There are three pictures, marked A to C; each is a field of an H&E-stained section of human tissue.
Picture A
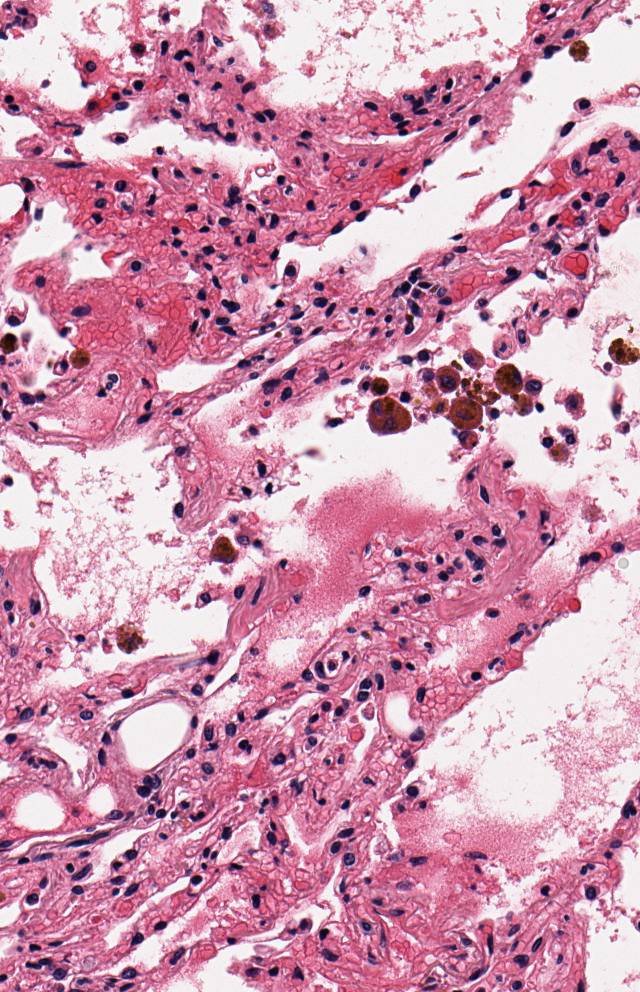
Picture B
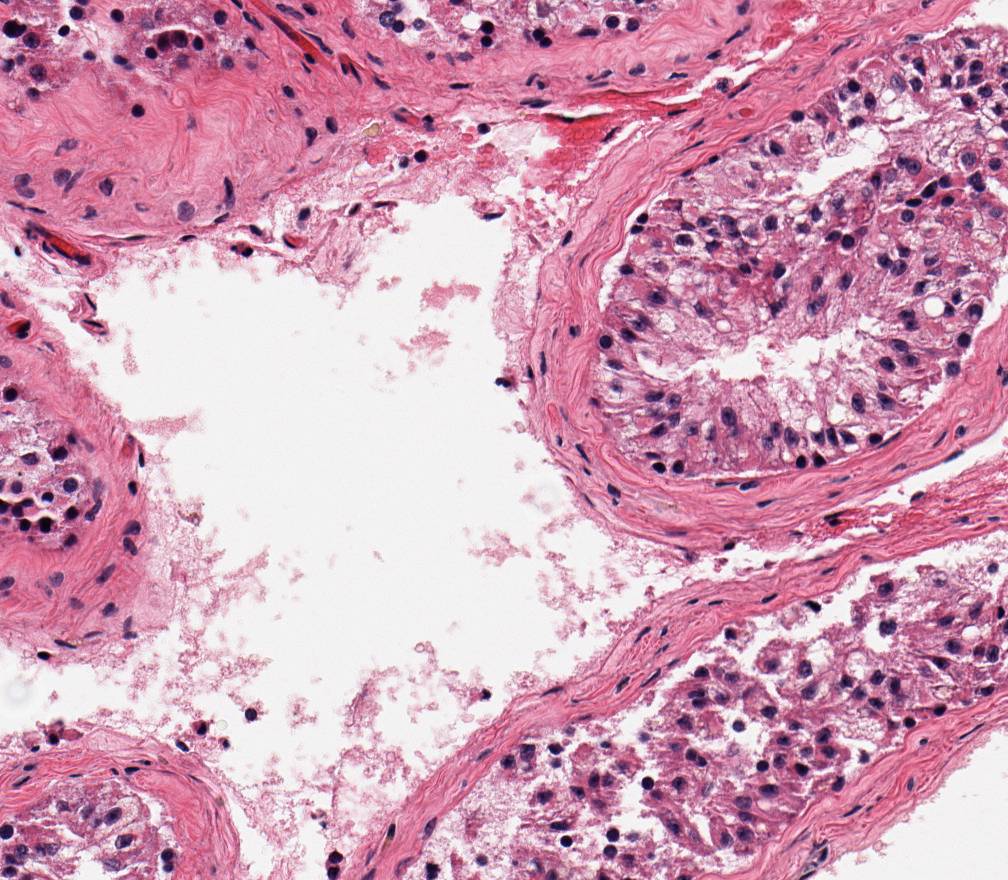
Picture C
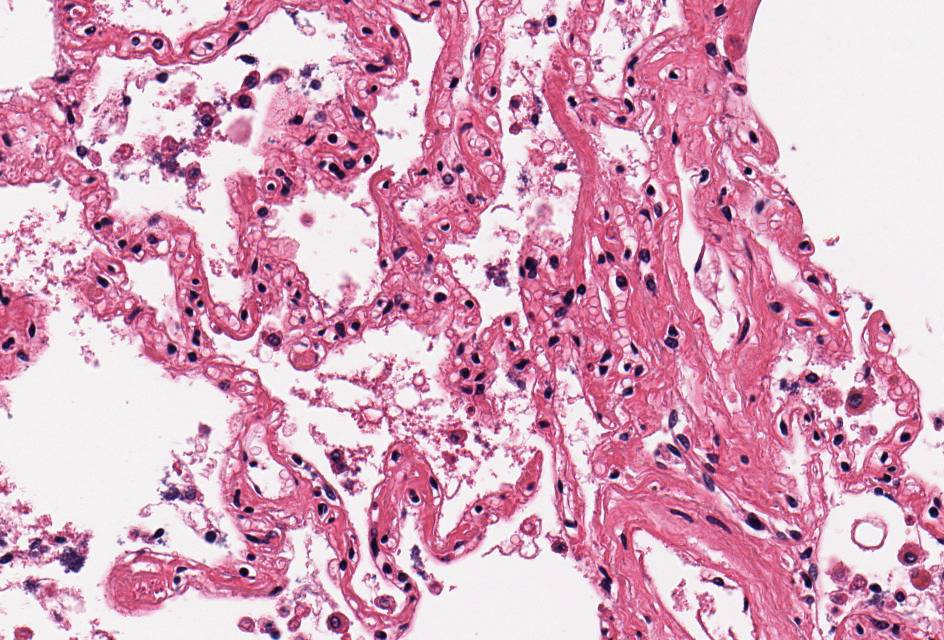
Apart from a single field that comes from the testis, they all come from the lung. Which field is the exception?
B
